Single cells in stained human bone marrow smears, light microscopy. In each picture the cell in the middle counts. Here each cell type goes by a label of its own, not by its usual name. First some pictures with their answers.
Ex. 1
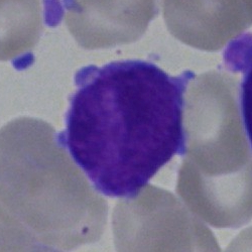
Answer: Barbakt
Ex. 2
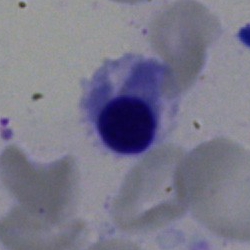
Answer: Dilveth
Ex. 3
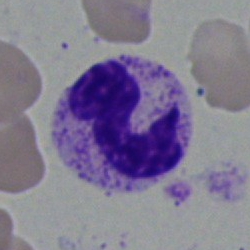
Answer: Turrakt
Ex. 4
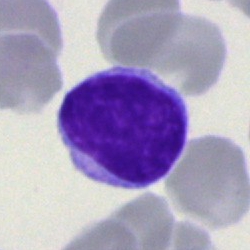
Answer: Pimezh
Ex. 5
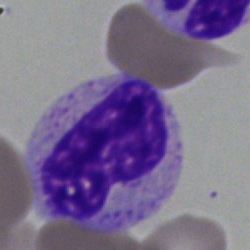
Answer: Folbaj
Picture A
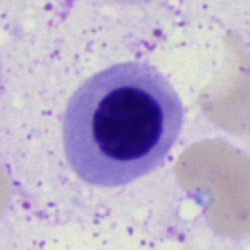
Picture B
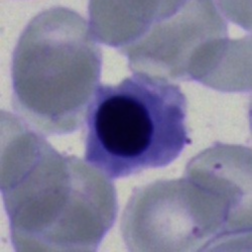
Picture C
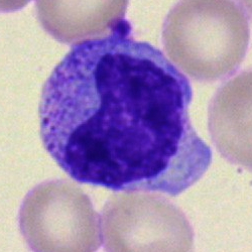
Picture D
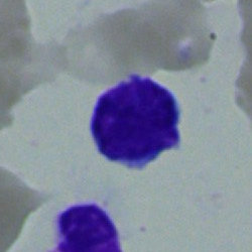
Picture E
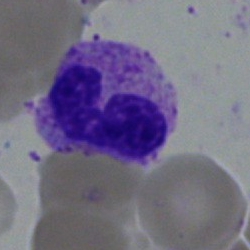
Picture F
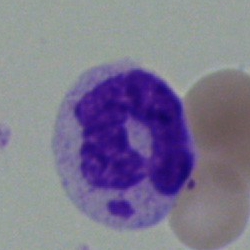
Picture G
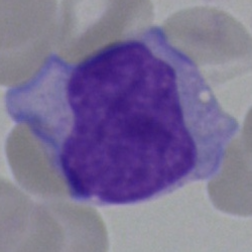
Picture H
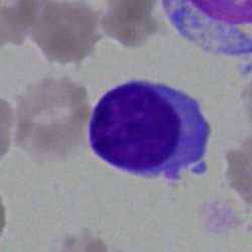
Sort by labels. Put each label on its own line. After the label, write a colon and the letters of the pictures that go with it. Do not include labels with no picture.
Barbakt: G
Dilveth: A, B
Turrakt: E, F
Pimezh: D, H
Folbaj: C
